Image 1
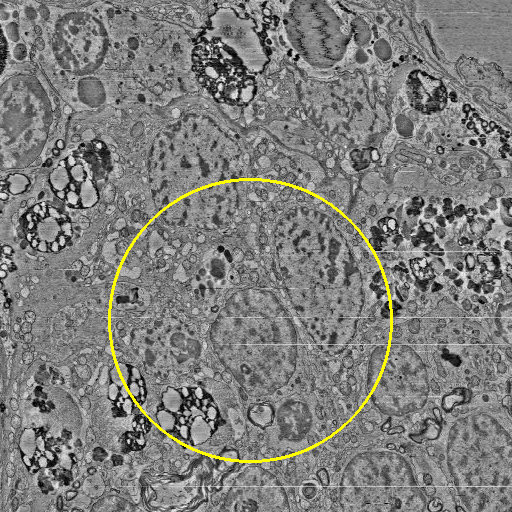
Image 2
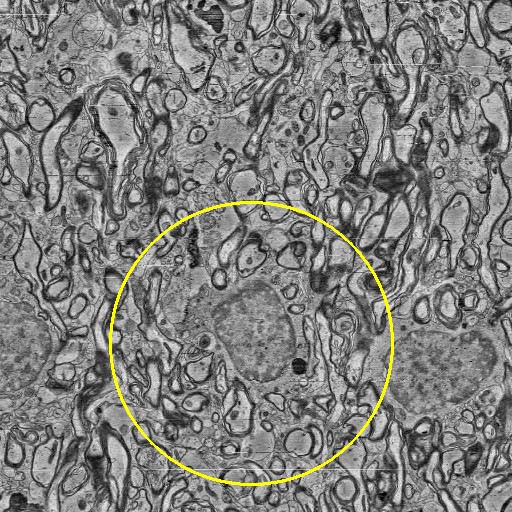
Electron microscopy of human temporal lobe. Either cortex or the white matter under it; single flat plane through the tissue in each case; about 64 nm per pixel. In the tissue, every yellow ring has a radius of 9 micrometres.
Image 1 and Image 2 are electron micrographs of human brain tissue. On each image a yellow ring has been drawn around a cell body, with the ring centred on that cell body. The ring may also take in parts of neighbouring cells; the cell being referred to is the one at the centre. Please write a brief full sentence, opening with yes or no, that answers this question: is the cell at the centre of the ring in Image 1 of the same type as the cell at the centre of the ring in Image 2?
Yes, both cells are of the same type.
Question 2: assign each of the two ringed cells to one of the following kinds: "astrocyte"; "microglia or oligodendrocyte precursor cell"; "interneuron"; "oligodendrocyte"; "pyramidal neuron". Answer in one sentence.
Both cells are the same kind, each one being an oligodendrocyte.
